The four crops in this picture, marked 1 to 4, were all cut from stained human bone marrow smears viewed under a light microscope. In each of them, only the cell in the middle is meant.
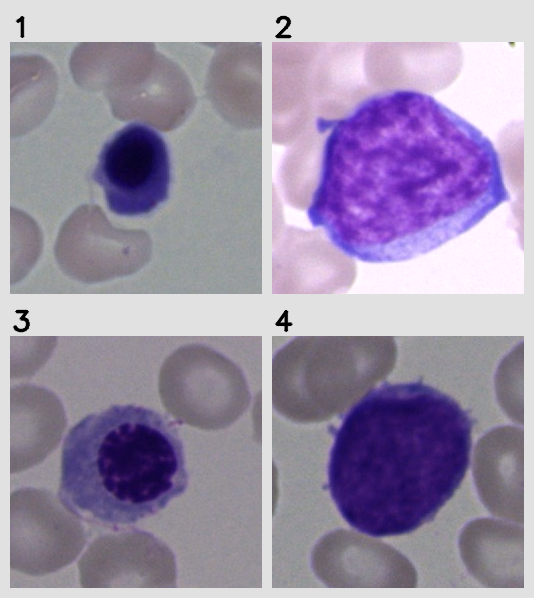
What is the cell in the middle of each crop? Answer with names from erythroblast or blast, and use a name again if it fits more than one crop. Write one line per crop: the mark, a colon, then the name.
1: erythroblast
2: blast
3: erythroblast
4: blast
